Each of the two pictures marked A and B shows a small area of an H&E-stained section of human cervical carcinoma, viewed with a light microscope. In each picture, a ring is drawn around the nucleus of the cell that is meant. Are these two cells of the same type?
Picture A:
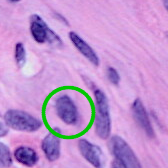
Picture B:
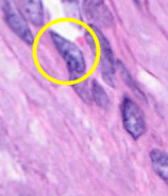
no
